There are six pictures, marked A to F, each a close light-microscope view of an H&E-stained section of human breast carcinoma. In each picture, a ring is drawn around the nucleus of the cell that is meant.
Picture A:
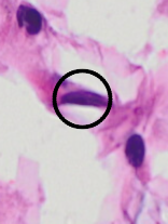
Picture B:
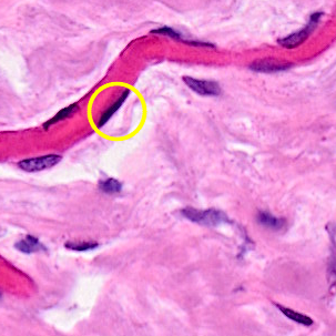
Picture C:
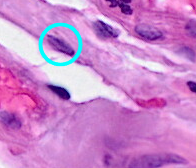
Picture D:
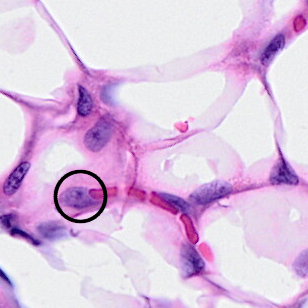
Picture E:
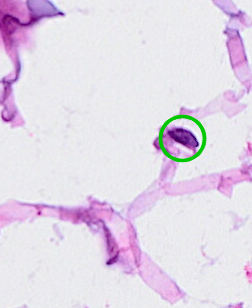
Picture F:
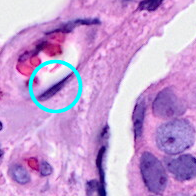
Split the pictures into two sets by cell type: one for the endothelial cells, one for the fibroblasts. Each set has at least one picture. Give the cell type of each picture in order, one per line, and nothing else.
endothelial cell
endothelial cell
fibroblast
endothelial cell
fibroblast
endothelial cell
